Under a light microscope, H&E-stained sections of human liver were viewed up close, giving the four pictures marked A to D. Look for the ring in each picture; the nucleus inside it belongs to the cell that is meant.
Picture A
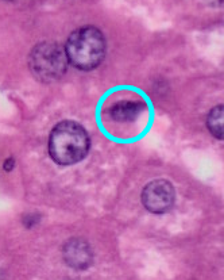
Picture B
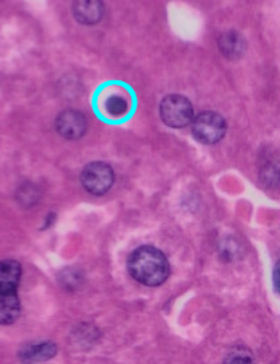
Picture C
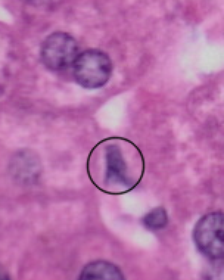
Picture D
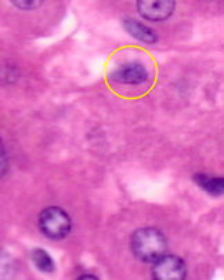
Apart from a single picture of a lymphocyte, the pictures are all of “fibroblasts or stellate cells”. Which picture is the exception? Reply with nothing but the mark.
B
